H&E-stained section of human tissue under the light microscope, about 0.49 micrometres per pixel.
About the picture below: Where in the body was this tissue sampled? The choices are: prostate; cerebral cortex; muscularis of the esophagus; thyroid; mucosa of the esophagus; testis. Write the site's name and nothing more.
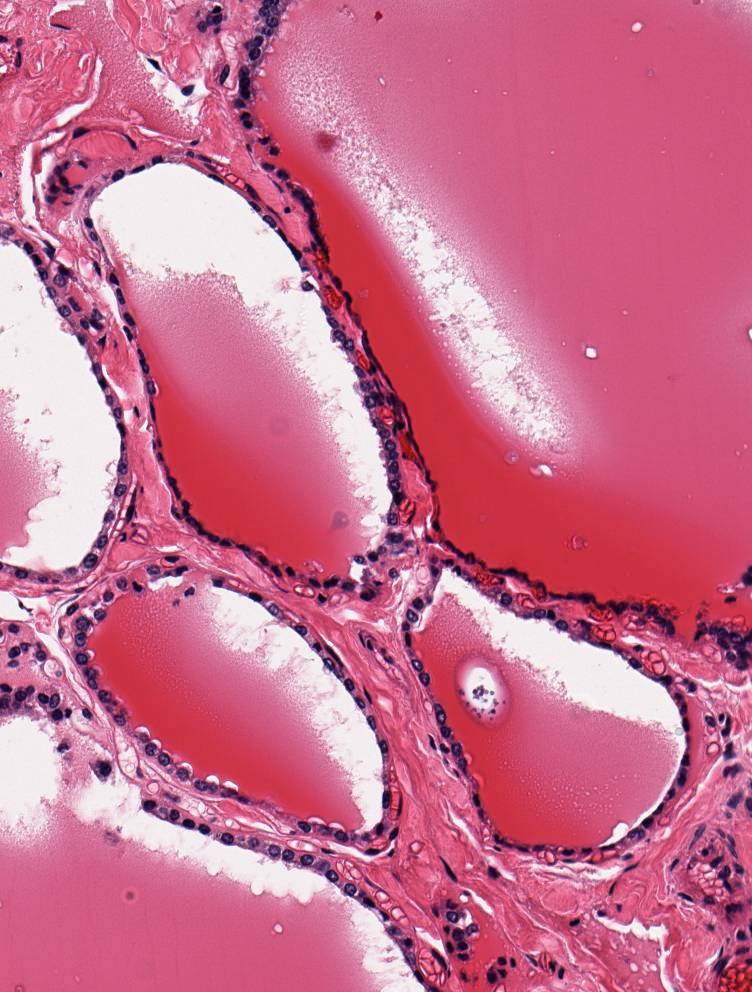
thyroid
